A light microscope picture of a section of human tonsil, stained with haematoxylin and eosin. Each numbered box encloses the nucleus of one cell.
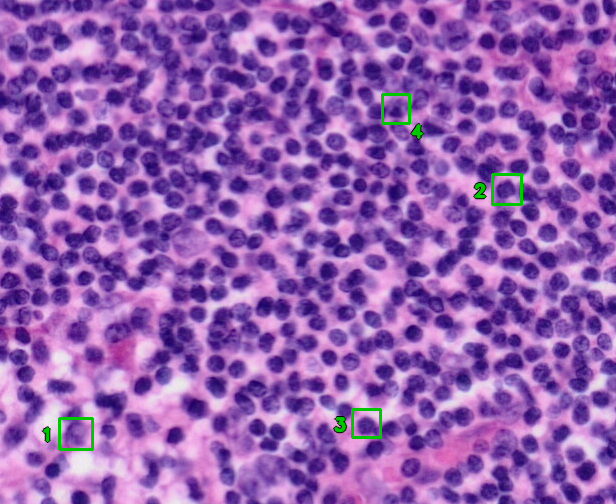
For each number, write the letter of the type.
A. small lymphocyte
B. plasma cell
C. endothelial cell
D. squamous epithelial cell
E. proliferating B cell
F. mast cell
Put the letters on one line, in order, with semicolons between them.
E; A; A; A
